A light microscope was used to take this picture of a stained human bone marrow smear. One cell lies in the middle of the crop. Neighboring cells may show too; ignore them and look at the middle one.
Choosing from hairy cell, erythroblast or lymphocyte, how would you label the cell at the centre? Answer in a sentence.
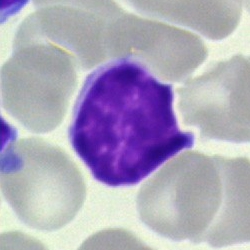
This crop's central cell is a lymphocyte.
